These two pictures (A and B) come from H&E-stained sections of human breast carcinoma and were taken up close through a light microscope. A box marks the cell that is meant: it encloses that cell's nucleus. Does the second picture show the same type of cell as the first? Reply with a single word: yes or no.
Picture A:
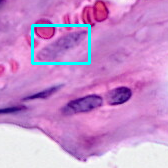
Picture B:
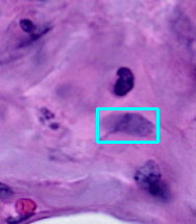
no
